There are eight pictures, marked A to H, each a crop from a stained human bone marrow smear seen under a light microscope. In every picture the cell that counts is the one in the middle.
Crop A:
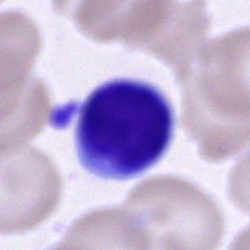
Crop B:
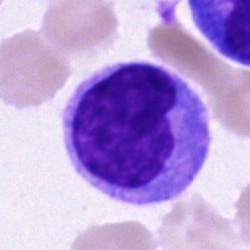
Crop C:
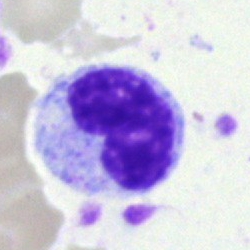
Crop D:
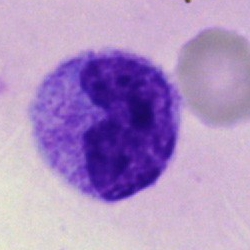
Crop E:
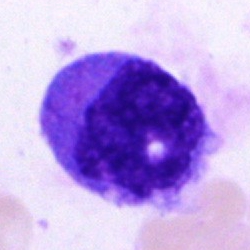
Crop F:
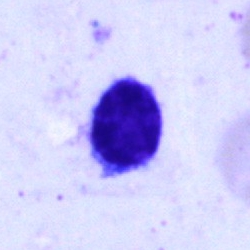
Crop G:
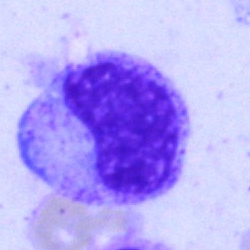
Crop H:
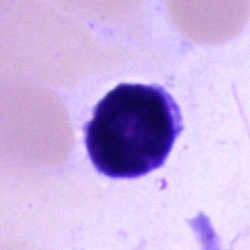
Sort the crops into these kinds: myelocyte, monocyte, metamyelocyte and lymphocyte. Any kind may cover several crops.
A: lymphocyte
B: monocyte
C: metamyelocyte
D: metamyelocyte
E: monocyte
F: lymphocyte
G: metamyelocyte
H: lymphocyte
